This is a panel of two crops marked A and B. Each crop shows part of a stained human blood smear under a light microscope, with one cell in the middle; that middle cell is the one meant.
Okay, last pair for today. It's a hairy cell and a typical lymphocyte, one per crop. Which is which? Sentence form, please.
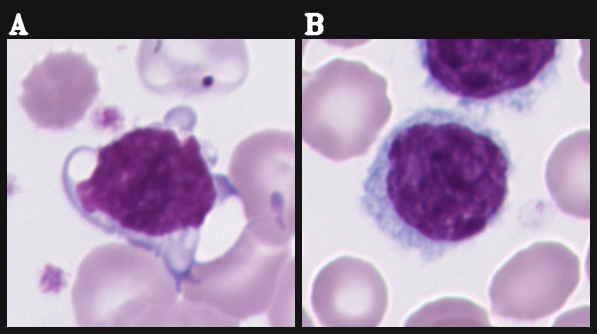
Crop A holds a typical lymphocyte; crop B holds a hairy cell.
